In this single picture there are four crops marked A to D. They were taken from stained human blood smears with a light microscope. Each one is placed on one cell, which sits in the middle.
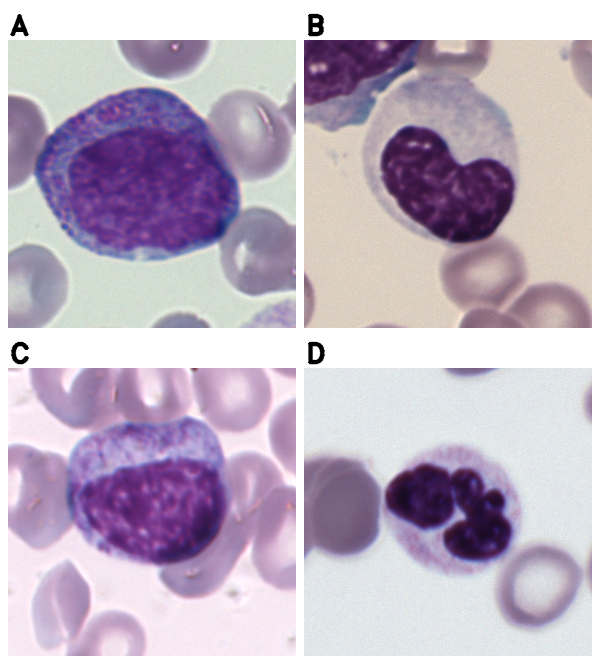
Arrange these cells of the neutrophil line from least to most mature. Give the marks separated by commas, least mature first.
A, C, B, D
